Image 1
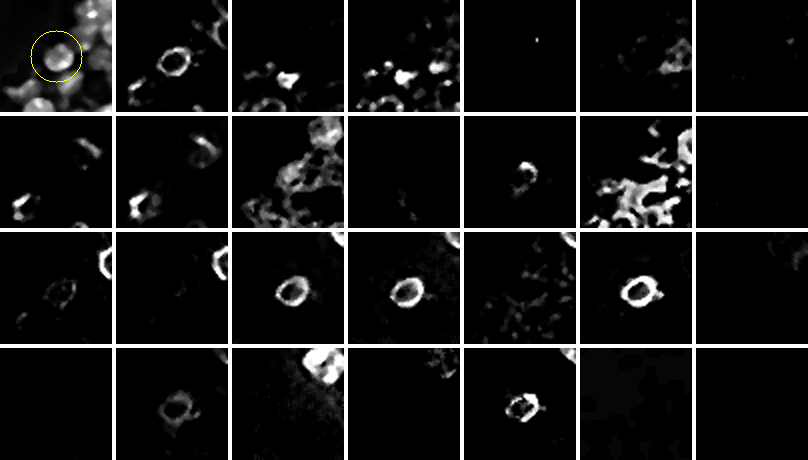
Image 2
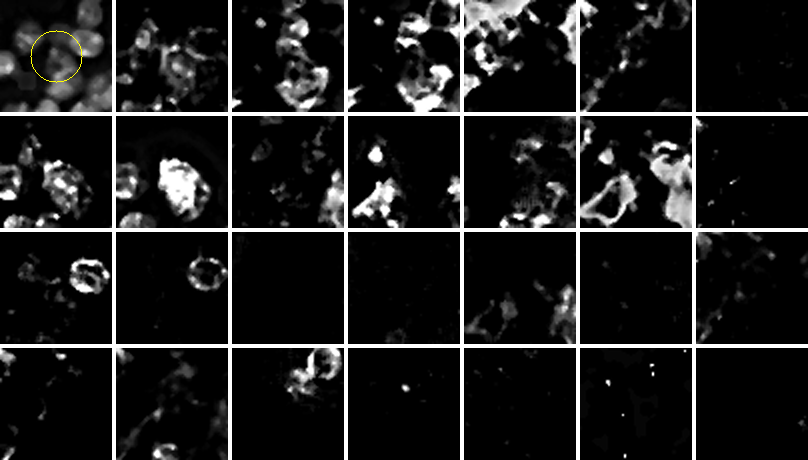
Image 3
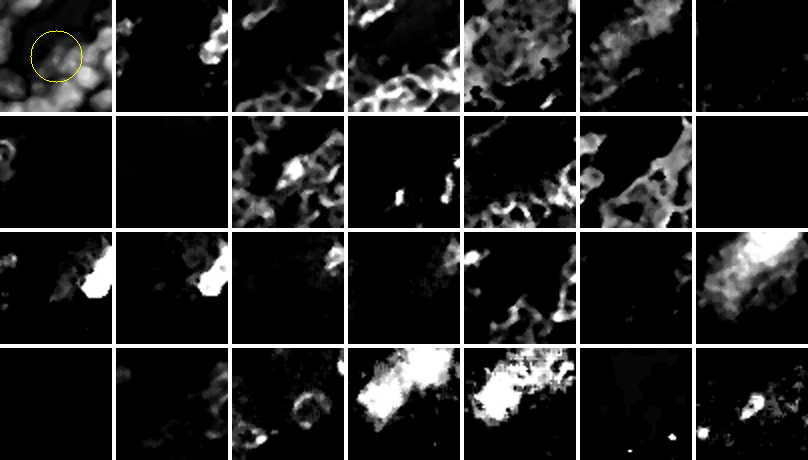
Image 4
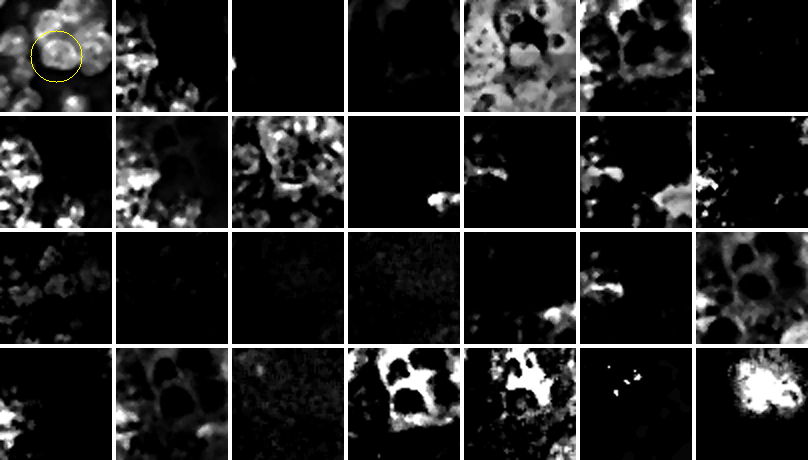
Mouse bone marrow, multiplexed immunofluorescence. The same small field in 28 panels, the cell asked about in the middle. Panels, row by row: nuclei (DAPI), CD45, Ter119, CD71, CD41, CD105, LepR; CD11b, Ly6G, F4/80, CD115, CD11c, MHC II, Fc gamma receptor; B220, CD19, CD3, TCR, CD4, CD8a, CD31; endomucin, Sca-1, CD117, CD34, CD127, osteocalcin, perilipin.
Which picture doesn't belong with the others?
Picture 2.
